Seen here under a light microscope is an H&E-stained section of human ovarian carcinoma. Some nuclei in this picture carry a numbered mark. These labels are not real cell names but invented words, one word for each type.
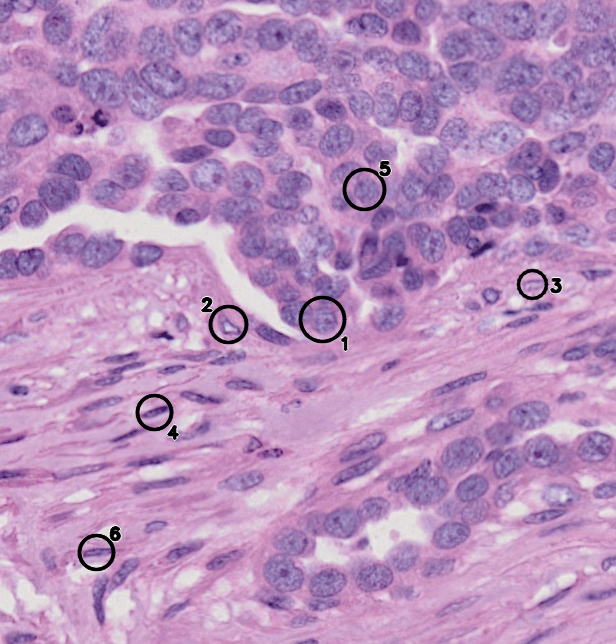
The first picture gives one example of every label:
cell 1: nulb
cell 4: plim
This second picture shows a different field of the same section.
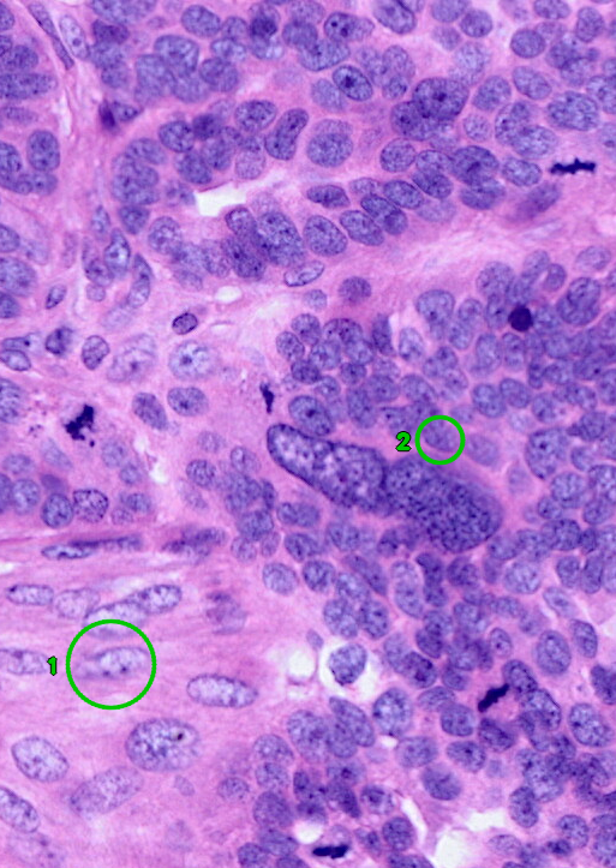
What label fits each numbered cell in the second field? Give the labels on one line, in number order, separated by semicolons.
plim; nulb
